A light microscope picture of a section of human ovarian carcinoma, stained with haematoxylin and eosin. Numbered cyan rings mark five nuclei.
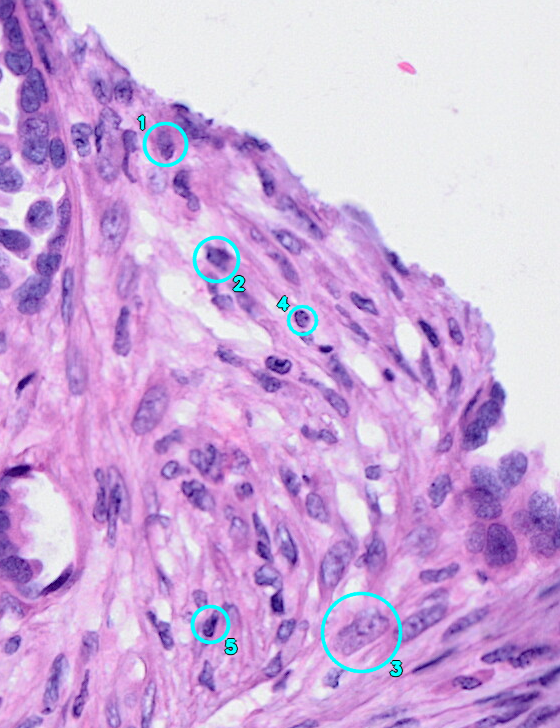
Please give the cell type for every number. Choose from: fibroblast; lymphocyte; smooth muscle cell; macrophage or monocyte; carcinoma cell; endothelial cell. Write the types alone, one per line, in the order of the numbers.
macrophage or monocyte
macrophage or monocyte
fibroblast
lymphocyte
lymphocyte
